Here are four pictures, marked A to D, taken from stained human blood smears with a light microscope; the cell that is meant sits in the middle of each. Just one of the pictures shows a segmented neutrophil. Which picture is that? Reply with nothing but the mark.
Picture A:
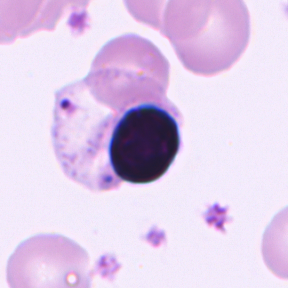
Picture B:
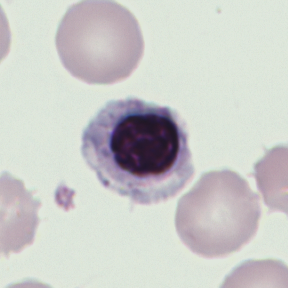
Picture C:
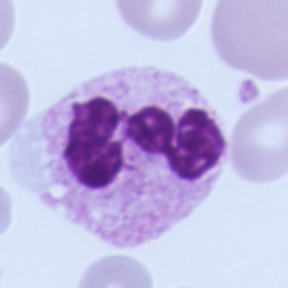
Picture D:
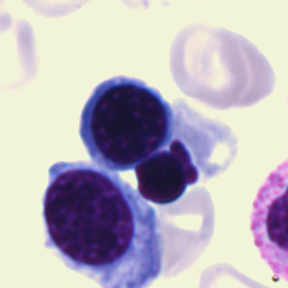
C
